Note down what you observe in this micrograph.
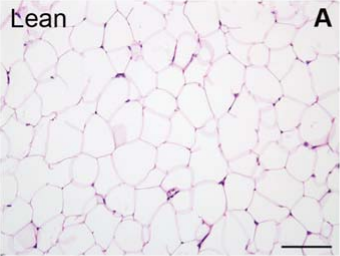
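Adipose tissue of closely packed, fairly small polygonal fat cells, each an empty unstained space bounded by a thin pink rim. Flattened dark purple nuclei lie at the cell edges and in the narrow spaces where several cells meet.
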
